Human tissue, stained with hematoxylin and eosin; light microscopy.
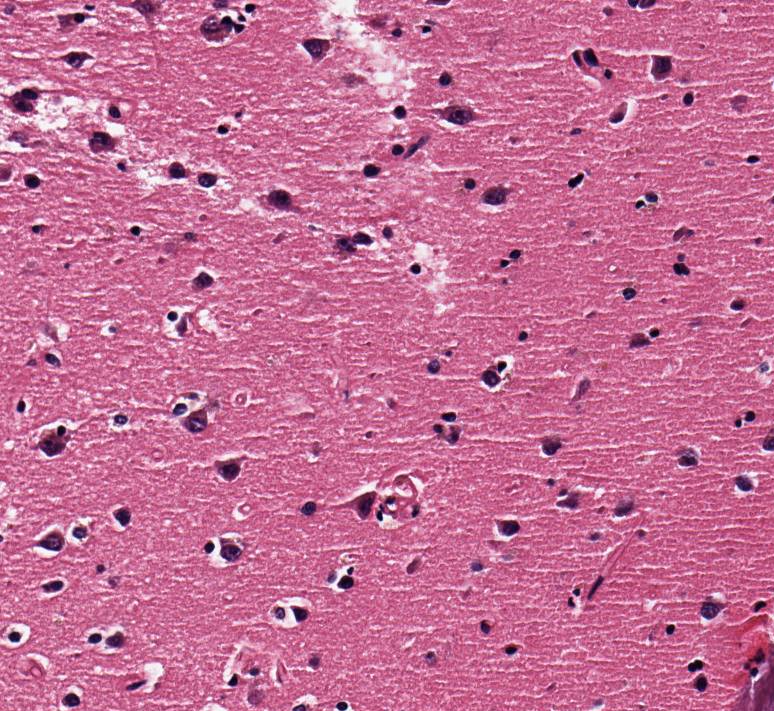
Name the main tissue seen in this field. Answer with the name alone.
cerebral cortex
